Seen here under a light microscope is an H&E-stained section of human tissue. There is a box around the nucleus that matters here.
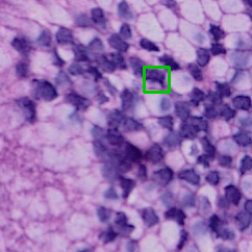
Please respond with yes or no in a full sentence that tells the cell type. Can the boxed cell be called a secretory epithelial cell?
Yes, the boxed cell is categorized as a secretory epithelial cell in this section.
